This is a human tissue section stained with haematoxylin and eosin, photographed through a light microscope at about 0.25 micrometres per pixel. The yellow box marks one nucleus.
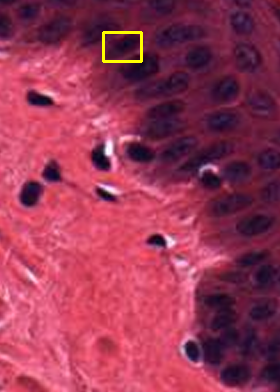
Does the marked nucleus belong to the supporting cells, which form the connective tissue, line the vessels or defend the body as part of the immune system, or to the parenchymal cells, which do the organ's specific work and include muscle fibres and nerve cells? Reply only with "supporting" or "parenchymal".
parenchymal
